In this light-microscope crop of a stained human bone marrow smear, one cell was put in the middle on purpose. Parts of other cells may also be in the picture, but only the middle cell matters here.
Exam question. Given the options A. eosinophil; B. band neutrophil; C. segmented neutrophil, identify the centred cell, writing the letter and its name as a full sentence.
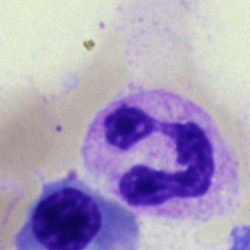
Option C is the right choice, the central cell being a segmented neutrophil.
